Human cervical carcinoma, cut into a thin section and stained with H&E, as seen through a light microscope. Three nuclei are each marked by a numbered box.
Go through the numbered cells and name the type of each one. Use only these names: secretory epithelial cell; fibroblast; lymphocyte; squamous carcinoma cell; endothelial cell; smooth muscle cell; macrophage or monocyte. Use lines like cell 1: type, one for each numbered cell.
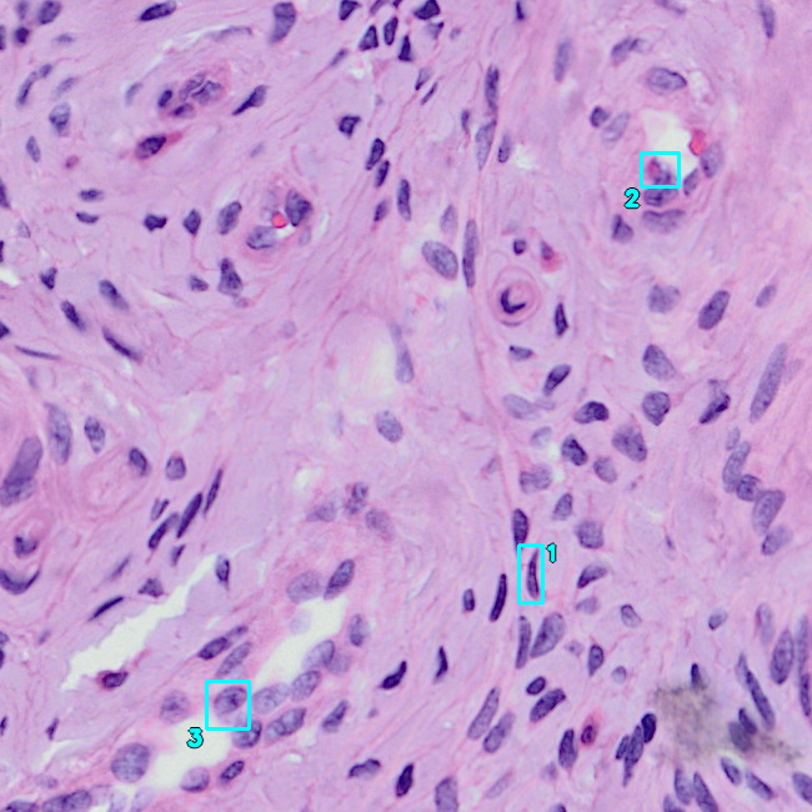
cell 1: fibroblast
cell 2: endothelial cell
cell 3: endothelial cell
